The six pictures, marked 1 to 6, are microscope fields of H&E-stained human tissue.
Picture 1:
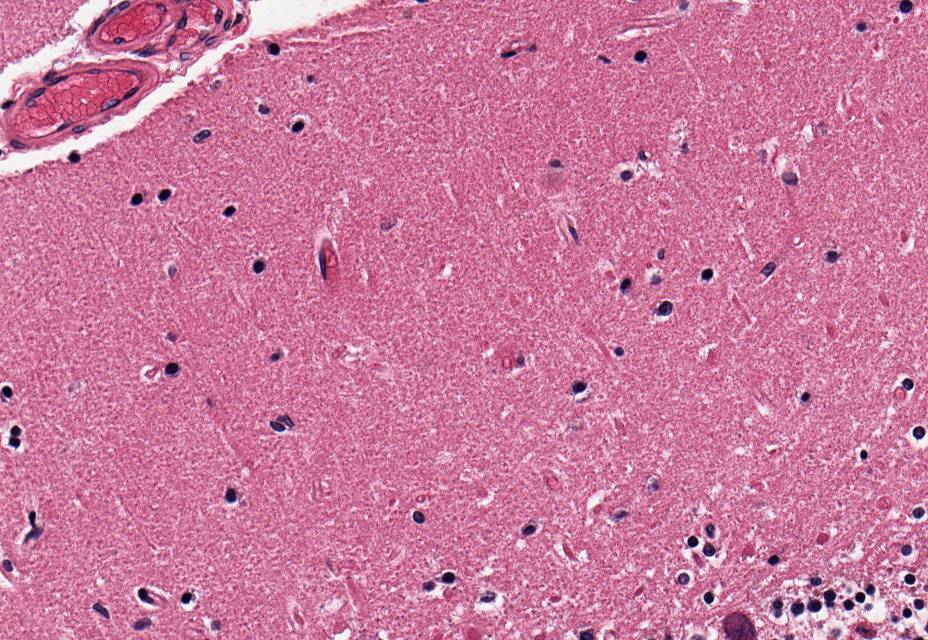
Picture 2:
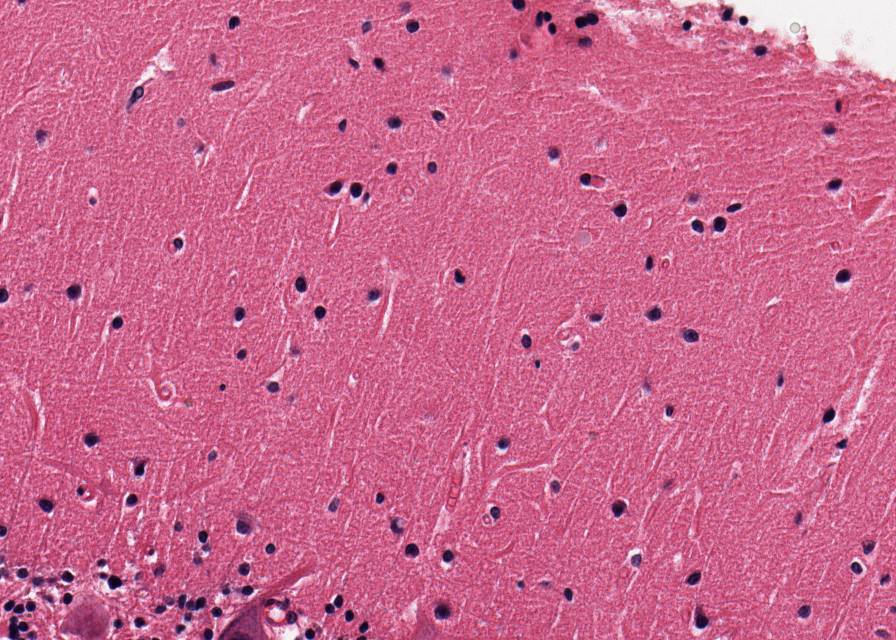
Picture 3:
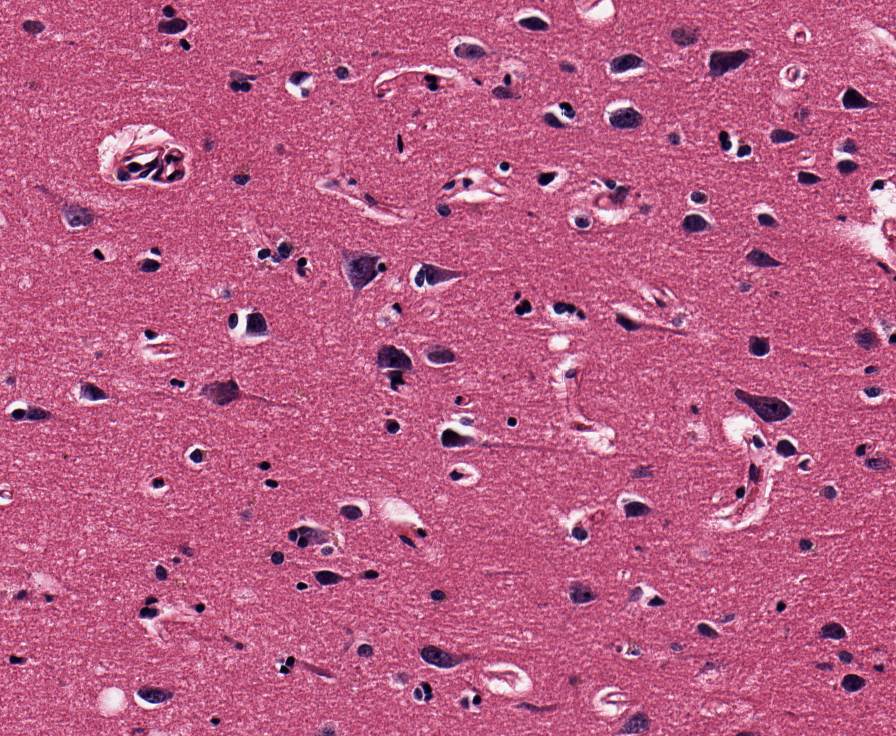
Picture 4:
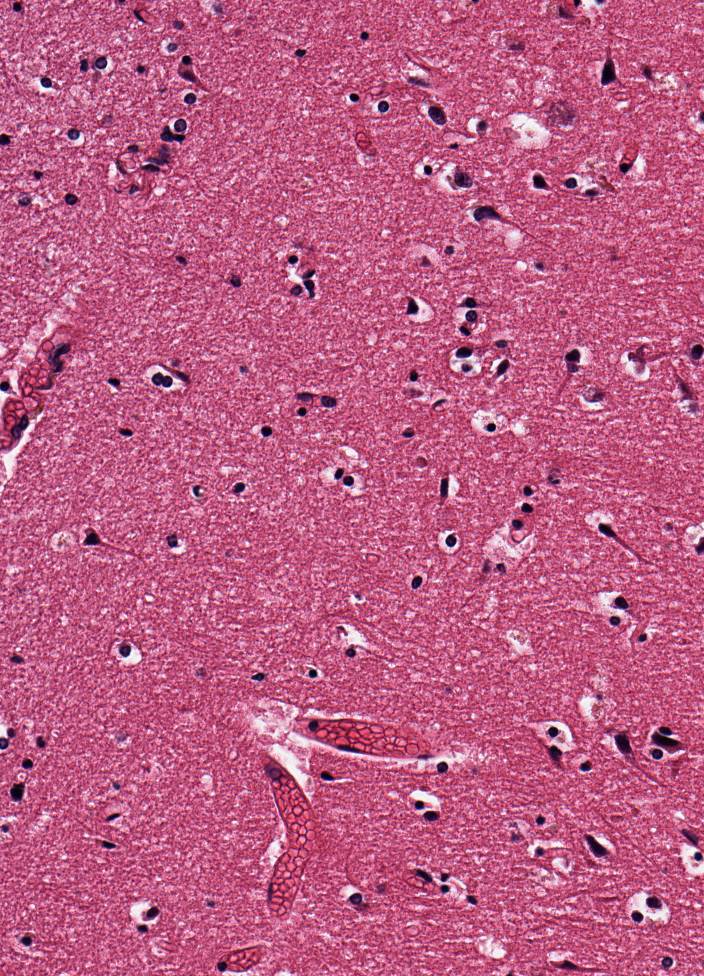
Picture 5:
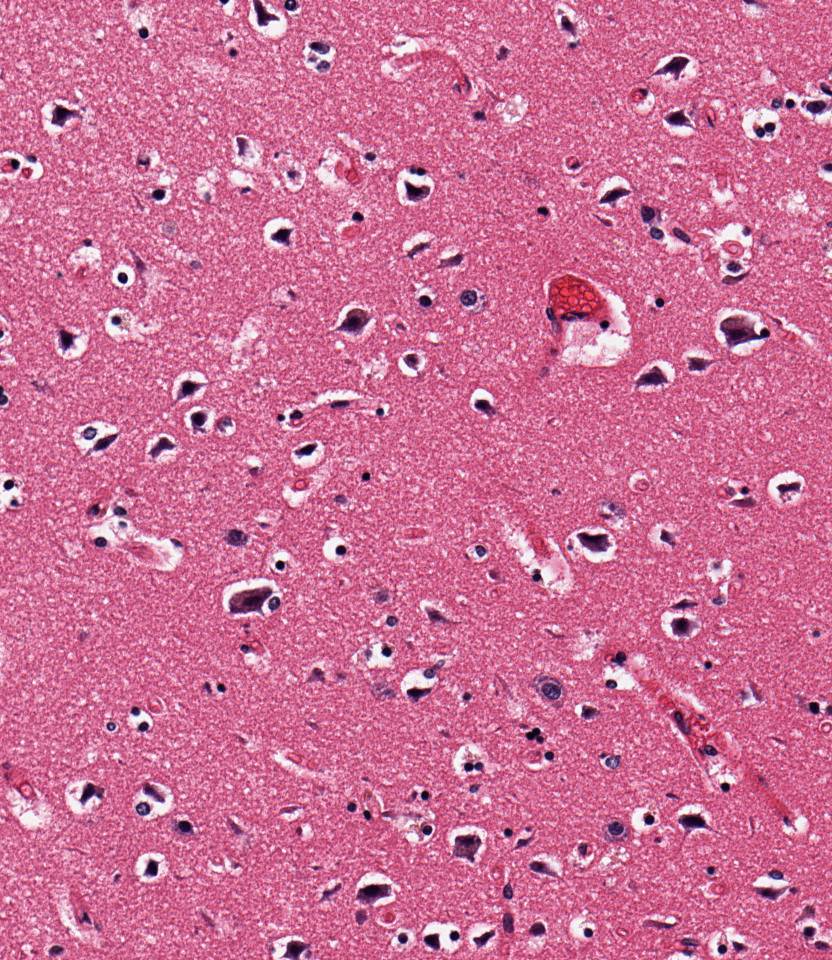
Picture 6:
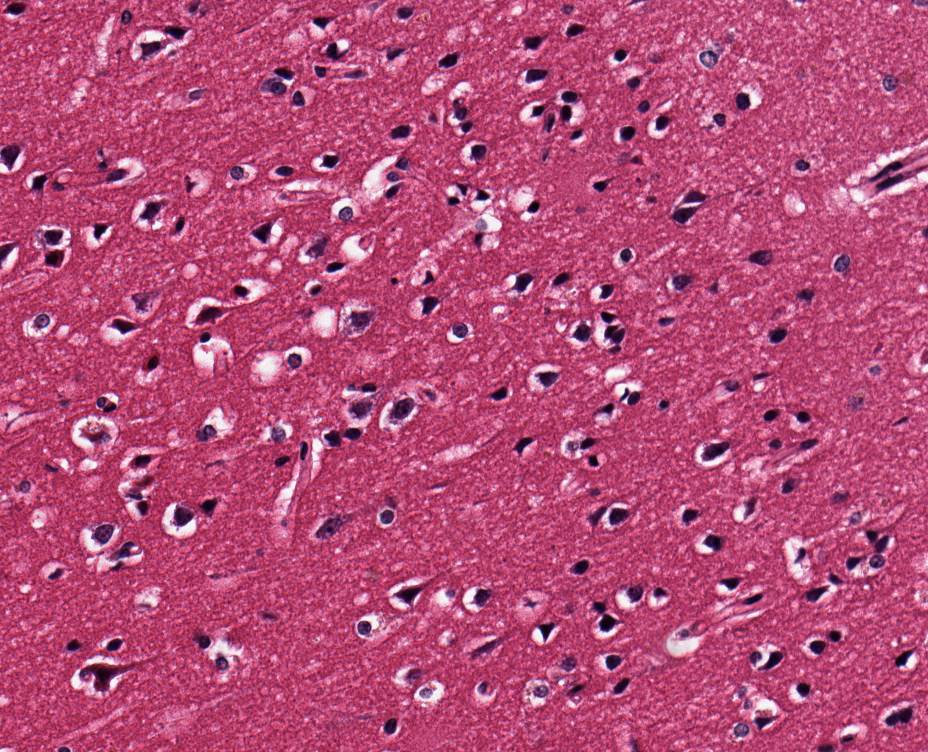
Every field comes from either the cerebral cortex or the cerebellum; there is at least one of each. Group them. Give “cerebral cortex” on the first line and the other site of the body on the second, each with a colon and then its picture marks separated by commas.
cerebral cortex: 3, 4, 5, 6
cerebellum: 1, 2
